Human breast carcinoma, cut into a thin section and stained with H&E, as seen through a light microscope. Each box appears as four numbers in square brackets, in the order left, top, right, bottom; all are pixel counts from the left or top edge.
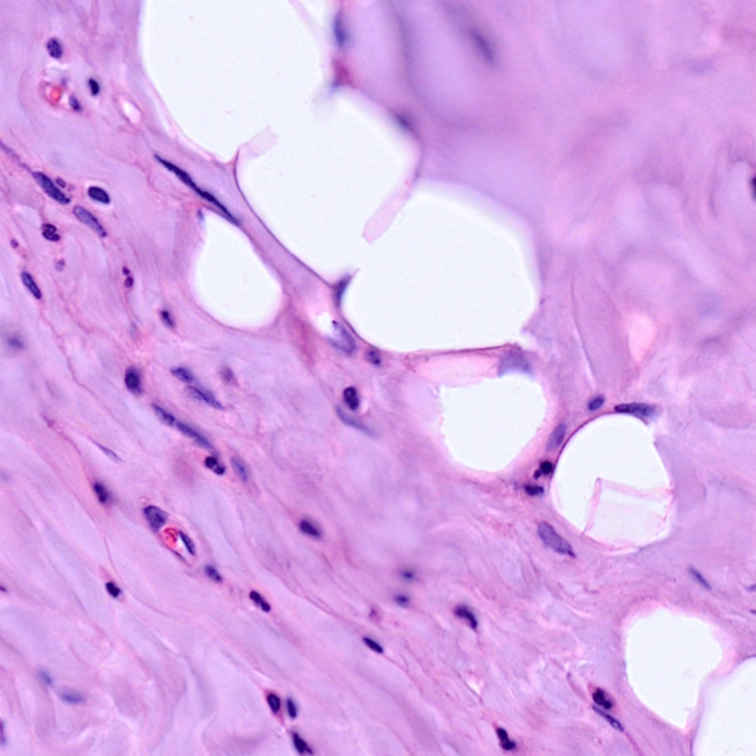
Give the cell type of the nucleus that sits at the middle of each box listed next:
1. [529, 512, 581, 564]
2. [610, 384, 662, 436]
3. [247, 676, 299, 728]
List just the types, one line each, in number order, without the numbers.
fibroblast
fibroblast
mast cell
